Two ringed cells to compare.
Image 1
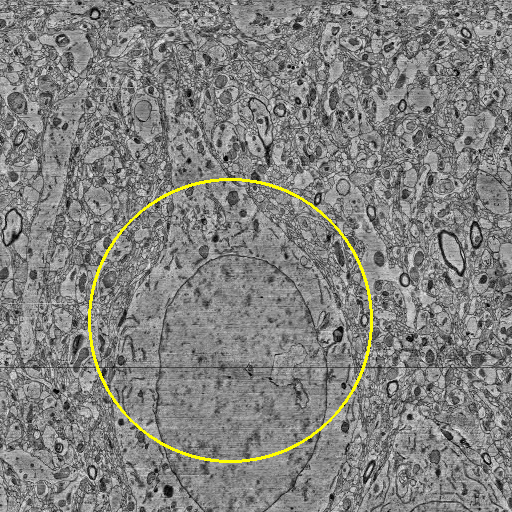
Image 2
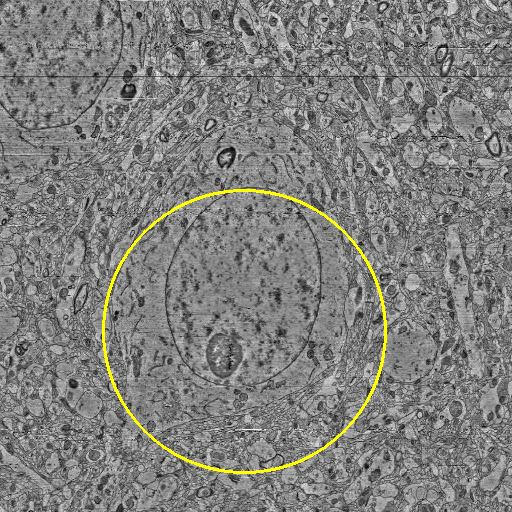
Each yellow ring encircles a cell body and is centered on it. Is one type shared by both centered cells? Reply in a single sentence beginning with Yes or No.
Yes, a single type is shared by the two cells at the centers of the rings.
